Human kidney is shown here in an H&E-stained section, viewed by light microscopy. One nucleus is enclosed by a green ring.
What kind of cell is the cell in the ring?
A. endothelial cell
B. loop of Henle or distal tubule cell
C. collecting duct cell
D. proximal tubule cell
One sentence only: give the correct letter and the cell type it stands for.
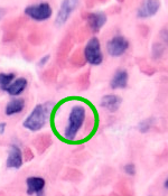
As stated in option A, the cell in the ring is an endothelial cell.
